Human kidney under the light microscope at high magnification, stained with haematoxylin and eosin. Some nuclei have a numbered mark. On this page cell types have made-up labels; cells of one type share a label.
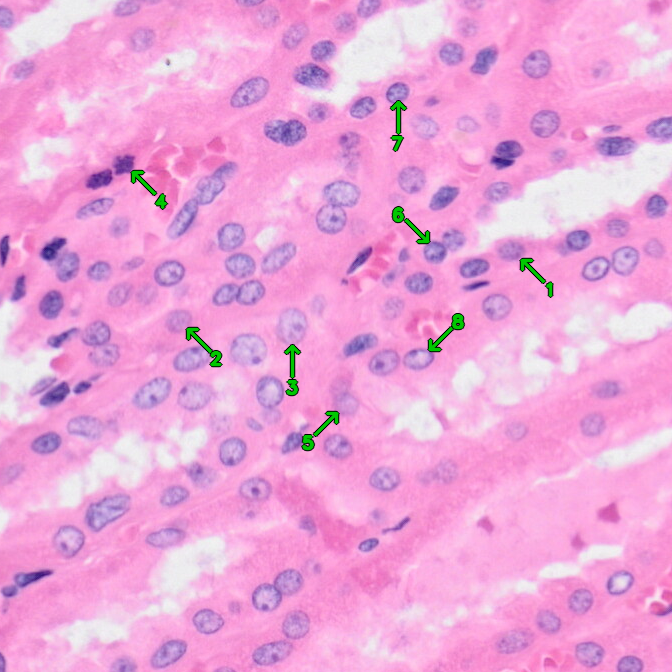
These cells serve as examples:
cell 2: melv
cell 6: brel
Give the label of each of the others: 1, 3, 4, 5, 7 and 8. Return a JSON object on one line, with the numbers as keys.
{"1": "brel", "3": "melv", "4": "melv", "5": "melv", "7": "brel", "8": "melv"}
